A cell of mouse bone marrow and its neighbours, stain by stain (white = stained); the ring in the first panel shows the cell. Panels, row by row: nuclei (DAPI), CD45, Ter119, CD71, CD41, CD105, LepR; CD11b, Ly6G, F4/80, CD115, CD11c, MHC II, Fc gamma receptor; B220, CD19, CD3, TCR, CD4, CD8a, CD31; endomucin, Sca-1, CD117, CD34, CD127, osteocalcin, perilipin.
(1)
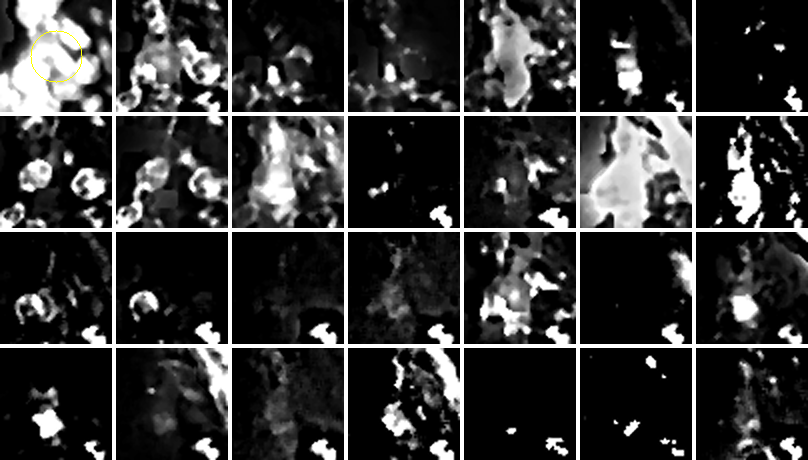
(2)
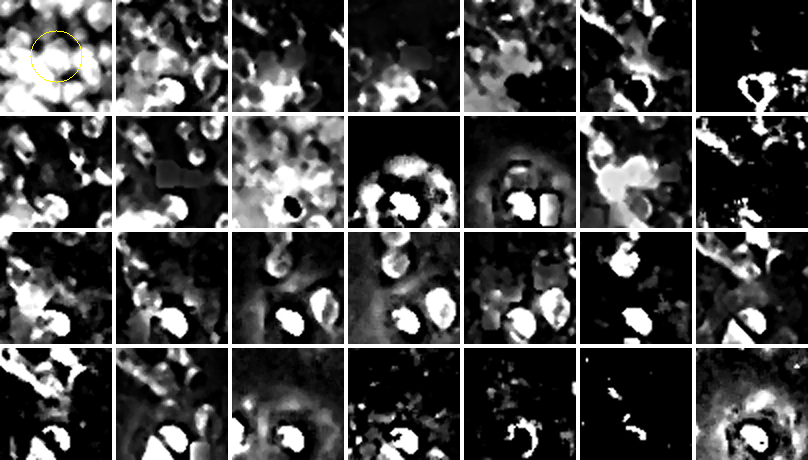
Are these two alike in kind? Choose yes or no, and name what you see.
Yes. Conventional dendritic cells.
